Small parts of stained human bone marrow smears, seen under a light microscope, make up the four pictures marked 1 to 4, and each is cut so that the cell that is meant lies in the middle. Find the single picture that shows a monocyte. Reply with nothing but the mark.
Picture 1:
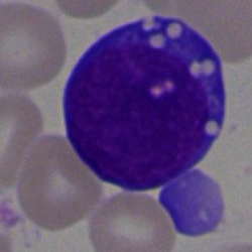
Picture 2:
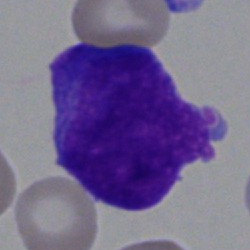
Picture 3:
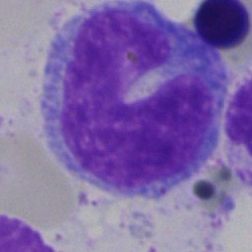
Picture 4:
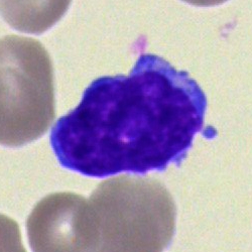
3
